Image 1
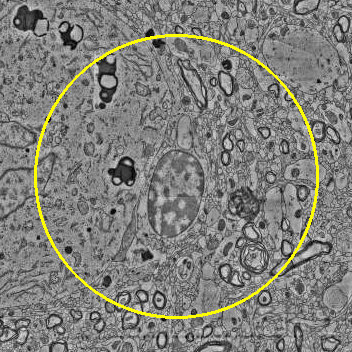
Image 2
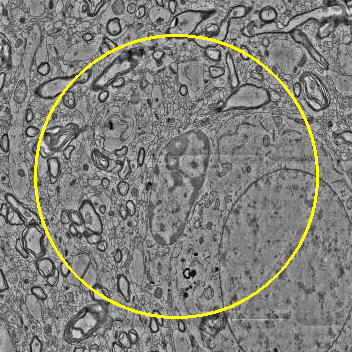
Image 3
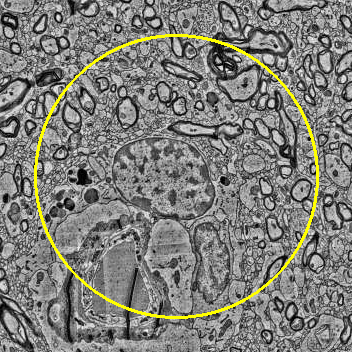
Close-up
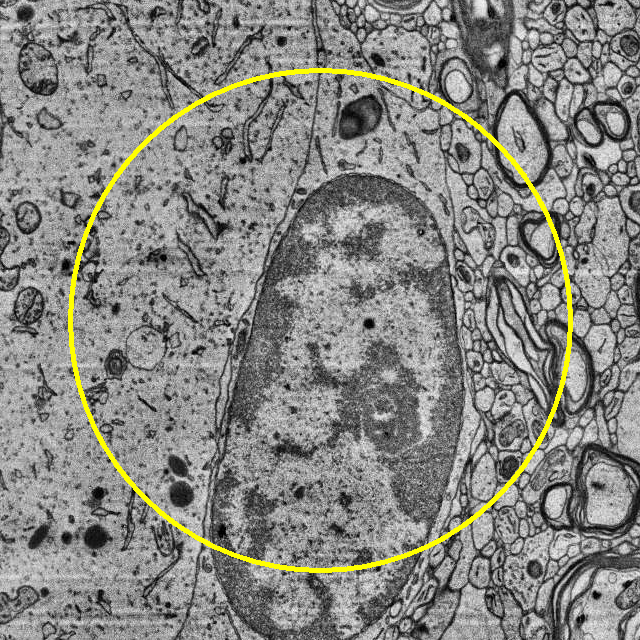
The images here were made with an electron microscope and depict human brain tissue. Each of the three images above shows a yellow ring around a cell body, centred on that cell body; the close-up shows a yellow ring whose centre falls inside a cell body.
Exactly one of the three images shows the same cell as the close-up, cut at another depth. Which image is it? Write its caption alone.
Image 1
